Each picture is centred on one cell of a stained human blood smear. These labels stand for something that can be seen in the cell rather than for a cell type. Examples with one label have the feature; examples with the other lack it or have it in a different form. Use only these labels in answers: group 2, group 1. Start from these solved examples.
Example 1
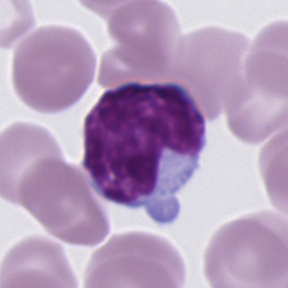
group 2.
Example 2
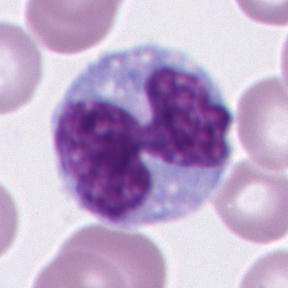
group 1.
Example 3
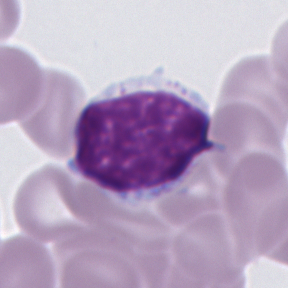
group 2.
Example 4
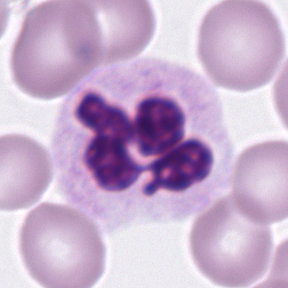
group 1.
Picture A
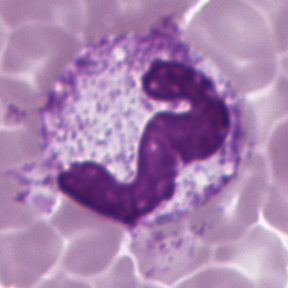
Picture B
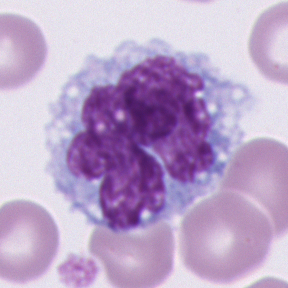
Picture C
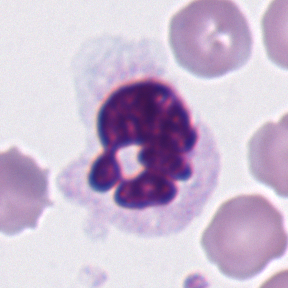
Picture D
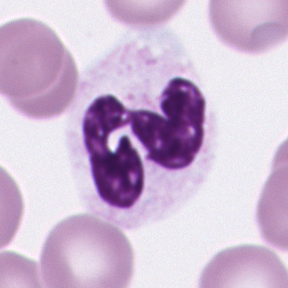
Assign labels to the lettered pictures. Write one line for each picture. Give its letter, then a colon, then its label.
A: group 2.
B: group 2.
C: group 2.
D: group 1.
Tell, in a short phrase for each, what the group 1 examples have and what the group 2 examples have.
group 1, smooth outline; group 2, ragged outline or projections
